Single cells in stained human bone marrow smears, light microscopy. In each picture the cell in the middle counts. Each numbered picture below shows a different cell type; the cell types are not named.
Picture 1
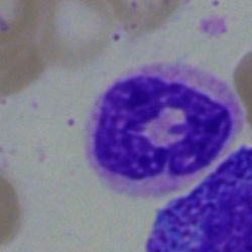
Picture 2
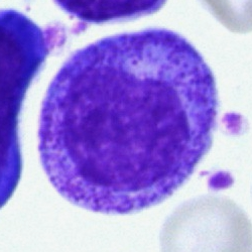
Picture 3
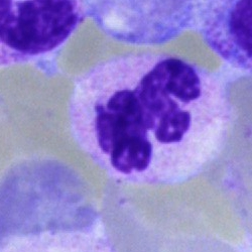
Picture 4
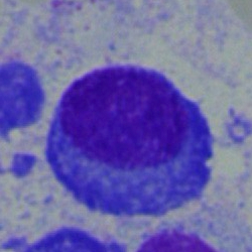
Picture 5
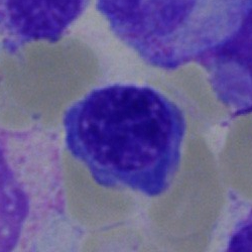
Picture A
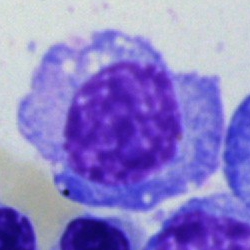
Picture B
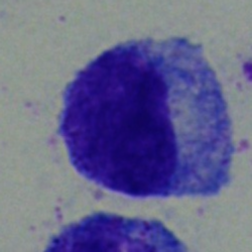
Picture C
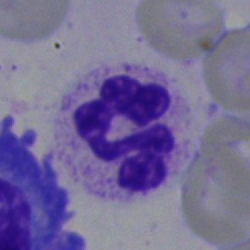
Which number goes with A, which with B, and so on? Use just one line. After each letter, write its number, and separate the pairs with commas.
A 4, B 2, C 3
